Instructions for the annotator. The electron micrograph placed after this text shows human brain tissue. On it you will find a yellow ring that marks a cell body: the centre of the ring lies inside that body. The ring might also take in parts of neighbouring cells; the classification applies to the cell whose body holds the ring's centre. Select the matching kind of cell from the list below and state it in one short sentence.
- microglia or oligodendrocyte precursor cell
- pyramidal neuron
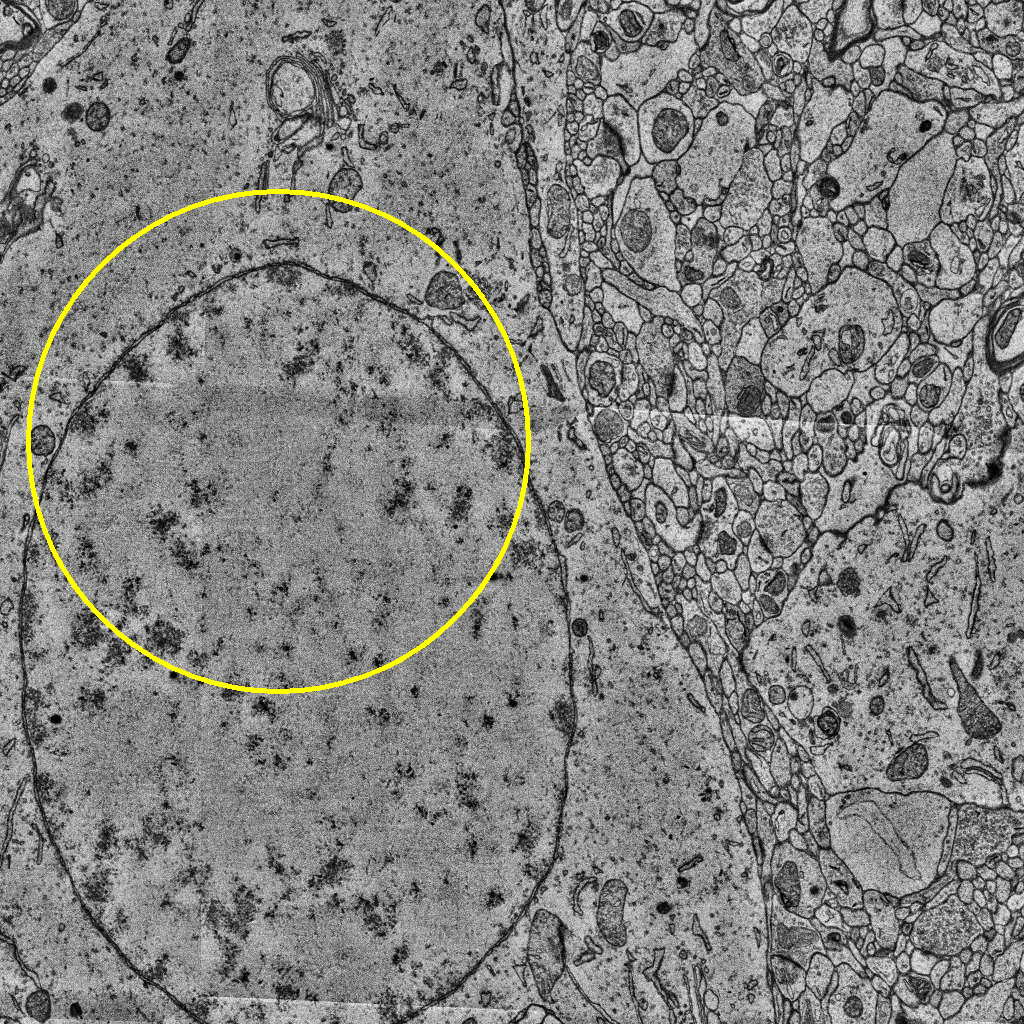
The centre of the ring lies in the cell body of a pyramidal neuron.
